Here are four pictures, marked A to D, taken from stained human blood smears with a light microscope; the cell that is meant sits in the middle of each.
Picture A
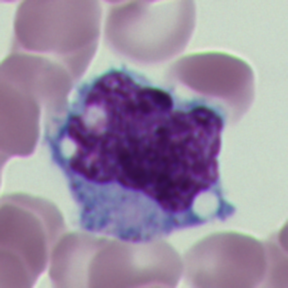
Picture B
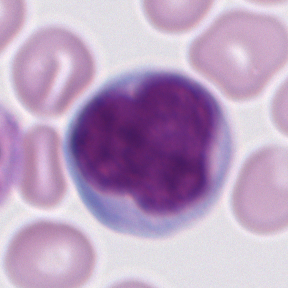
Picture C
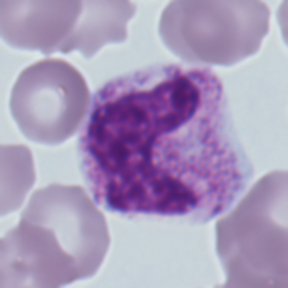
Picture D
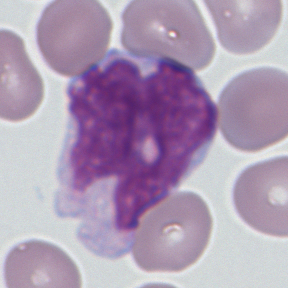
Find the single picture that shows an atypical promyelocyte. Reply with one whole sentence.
Picture D shows the atypical promyelocyte.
